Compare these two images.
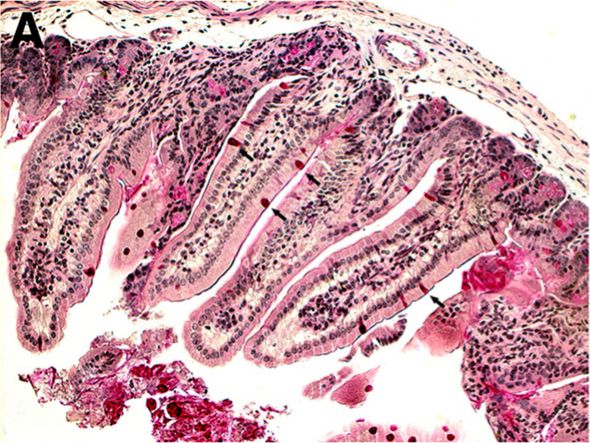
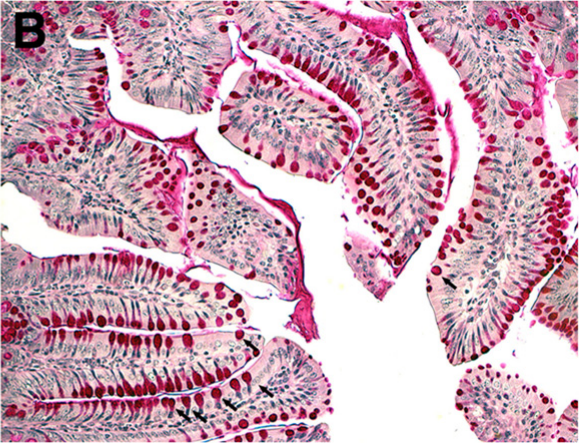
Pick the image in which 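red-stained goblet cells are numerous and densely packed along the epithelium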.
The second image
